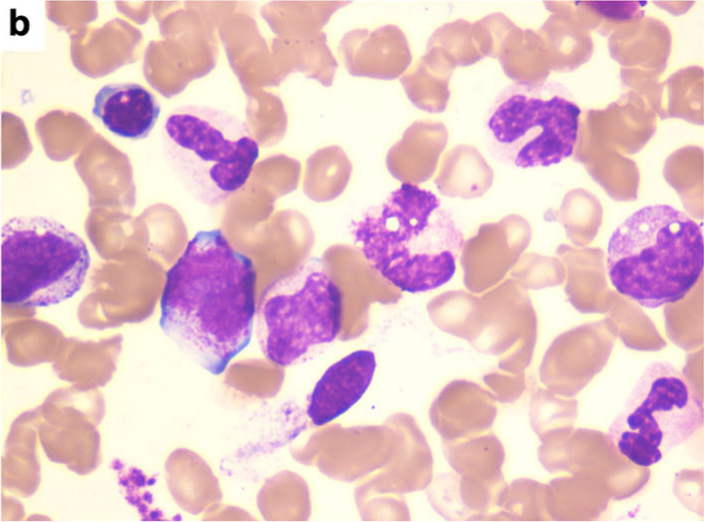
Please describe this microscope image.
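This is a bone marrow smear in which the nucleated cells are spread out, with many pale pink red cells filling the spaces between them. Several cells have curved, banded or segmented purple nuclei set in pale pink, finely granular cytoplasm, resembling maturing granulocytes. One cell has a lobed nucleus with clear holes in its cytoplasm. A small round cell with a dark nucleus and a thin blue rim of cytoplasm sits near the upper left. A larger cell in the centre has an oval nucleus and a bluish cytoplasmic border. An elongated dark nucleus lies lower down among the red cells.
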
